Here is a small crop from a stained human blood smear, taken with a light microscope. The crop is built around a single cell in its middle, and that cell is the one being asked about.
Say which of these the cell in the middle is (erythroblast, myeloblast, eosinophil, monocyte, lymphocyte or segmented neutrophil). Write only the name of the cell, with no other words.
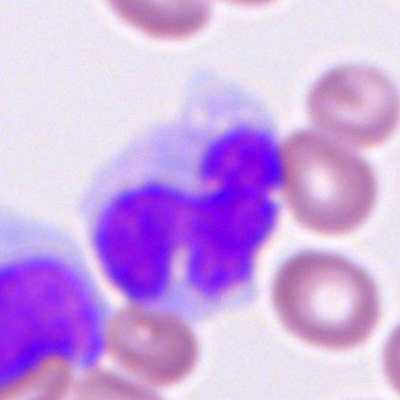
monocyte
